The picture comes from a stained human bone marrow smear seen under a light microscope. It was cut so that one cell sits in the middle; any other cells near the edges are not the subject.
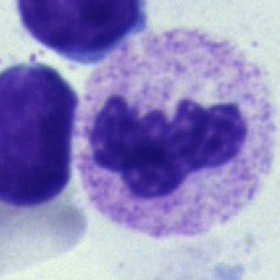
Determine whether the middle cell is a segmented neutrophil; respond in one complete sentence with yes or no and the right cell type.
Yes, the identity of the central cell is that of a segmented neutrophil.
